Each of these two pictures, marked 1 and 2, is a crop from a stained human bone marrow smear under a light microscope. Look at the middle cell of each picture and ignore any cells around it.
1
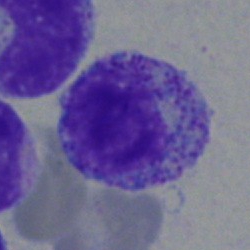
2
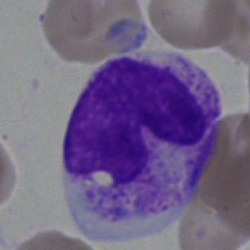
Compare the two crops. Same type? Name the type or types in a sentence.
No, a myelocyte is depicted by crop 1, a metamyelocyte by crop 2.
